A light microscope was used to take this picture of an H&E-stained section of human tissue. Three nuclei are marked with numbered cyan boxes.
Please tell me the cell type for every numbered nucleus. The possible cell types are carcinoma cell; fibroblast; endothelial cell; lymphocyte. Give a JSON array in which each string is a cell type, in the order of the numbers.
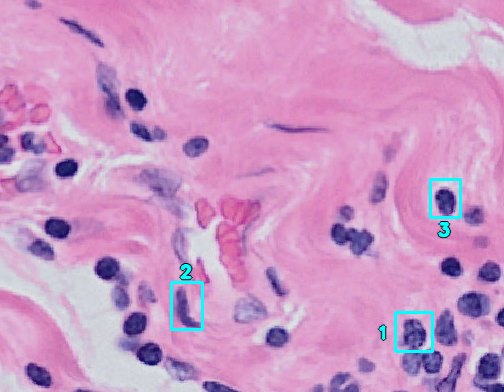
["lymphocyte", "endothelial cell", "lymphocyte"]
